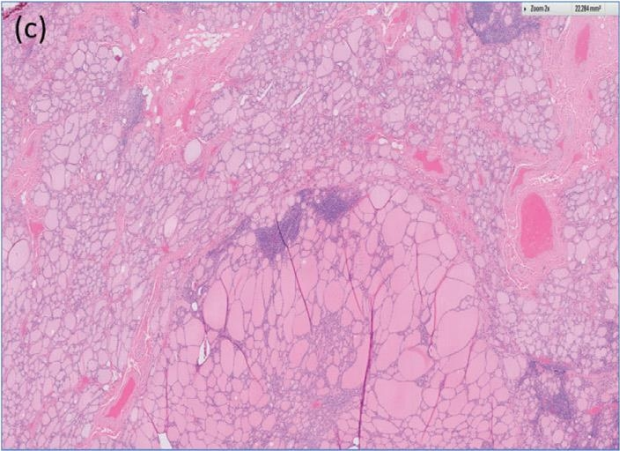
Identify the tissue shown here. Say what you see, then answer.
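Thyroid. Many follicles of varying size filled with pink colloid.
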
